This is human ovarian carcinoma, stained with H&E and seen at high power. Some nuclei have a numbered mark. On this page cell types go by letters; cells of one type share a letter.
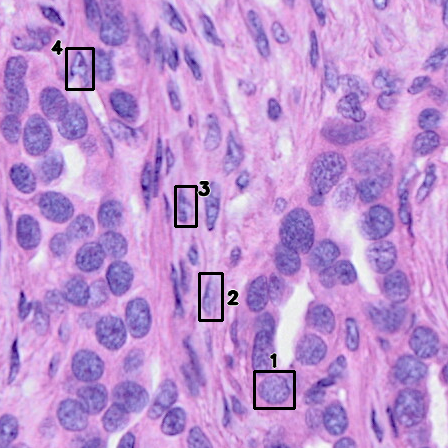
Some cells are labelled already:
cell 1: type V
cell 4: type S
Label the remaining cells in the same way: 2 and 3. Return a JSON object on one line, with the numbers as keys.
{"2": "type S", "3": "type S"}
